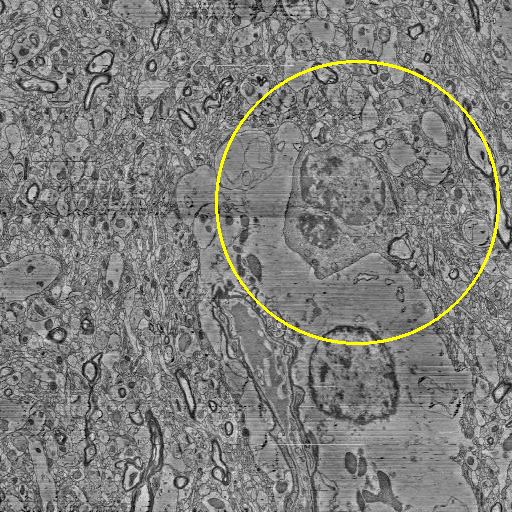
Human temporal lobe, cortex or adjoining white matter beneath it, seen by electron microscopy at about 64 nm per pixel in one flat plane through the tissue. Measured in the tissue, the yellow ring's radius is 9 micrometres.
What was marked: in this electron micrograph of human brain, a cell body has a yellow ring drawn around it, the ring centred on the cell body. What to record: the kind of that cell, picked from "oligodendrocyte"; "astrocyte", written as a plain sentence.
The centred cell is an oligodendrocyte.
